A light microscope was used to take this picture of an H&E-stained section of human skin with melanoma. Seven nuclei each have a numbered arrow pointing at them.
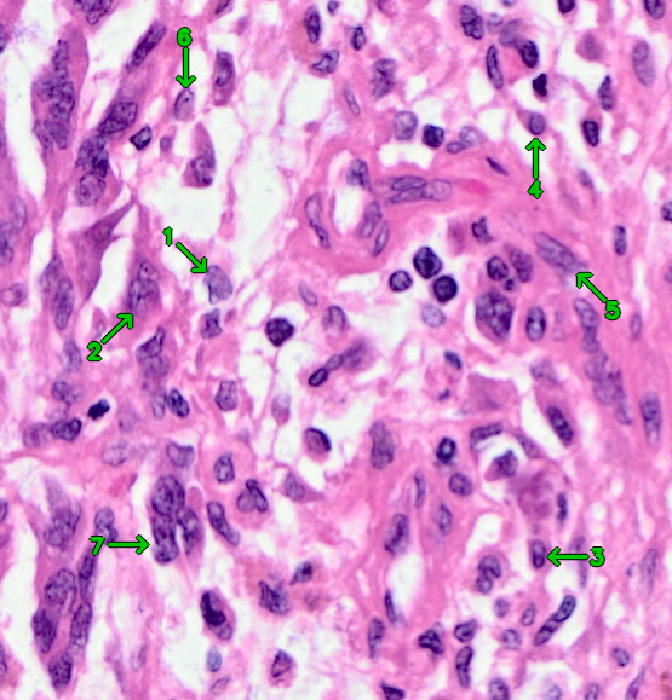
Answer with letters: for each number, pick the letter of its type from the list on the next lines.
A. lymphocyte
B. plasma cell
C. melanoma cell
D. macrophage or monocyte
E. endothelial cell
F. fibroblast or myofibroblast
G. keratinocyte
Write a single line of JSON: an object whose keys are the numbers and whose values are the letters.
{"1": "D", "2": "C", "3": "D", "4": "D", "5": "E", "6": "D", "7": "C"}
